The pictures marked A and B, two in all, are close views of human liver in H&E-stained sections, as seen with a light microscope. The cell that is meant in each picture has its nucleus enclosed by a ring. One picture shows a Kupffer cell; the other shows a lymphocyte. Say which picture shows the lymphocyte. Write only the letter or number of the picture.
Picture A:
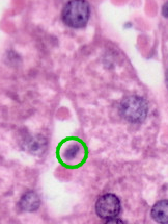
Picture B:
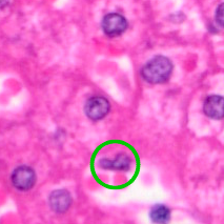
A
